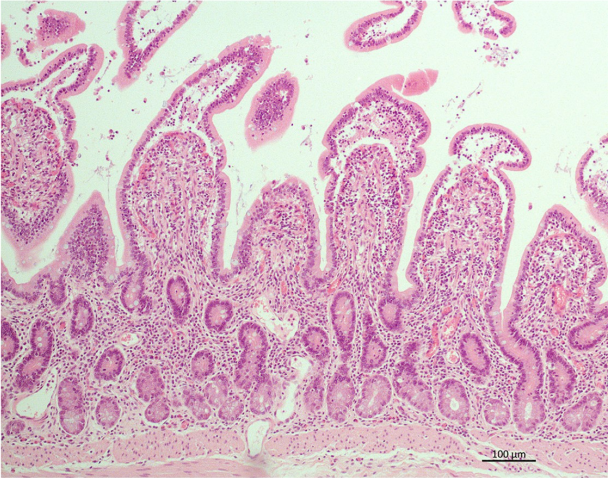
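This is small intestinal mucosa in which the columnar epithelium at the upper parts of the villi has lifted off the lamina propria cores, leaving empty clefts between the epithelial layer and the core. The lower villi and the crypts above the muscle layer still look intact, and detached epithelial fragments float in the lumen.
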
